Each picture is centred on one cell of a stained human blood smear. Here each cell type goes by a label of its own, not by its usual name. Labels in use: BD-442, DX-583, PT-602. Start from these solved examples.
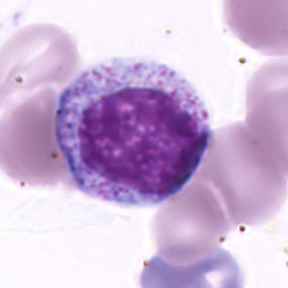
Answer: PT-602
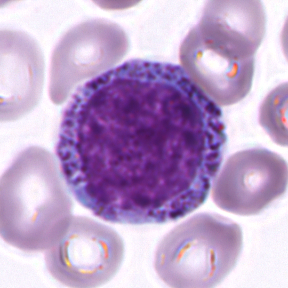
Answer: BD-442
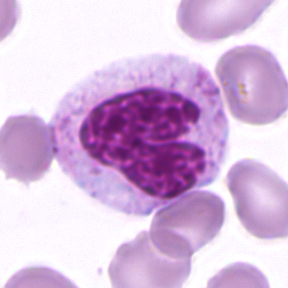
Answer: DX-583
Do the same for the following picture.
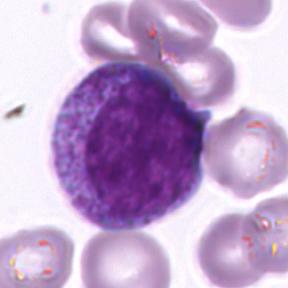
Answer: PT-602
